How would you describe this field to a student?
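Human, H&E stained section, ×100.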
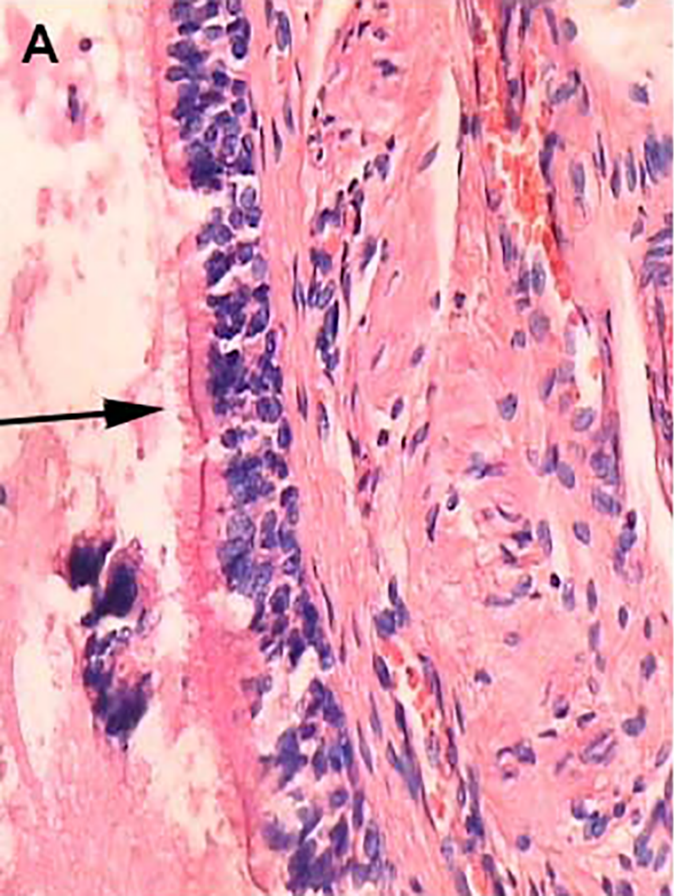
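The epithelium forms a band of tall, closely packed cells whose oval, dark purple nuclei lie at several levels, which gives a crowded, layered look. A thin pink fringe of cilia runs along the free surface facing the lumen, where pale pink material and some darker clumped debris lie. Beneath the epithelium lies pink connective tissue with many spindle-shaped cells with elongated nuclei, arranged in bundles, and small blood vessels containing red blood cells.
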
